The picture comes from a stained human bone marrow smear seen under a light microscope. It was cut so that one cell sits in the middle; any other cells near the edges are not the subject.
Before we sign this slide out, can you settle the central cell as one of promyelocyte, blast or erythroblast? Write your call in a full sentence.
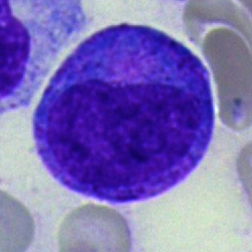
The crop shows a promyelocyte in its centre.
